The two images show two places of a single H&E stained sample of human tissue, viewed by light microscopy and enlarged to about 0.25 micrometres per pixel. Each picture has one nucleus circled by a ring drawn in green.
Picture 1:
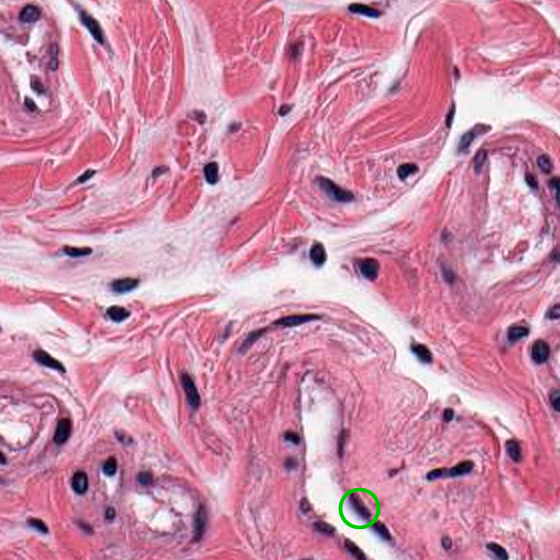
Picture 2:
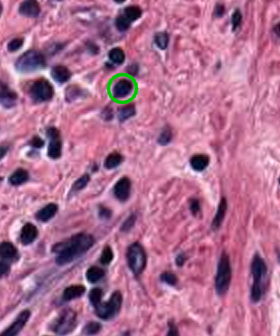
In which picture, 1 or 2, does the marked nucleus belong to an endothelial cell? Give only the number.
1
